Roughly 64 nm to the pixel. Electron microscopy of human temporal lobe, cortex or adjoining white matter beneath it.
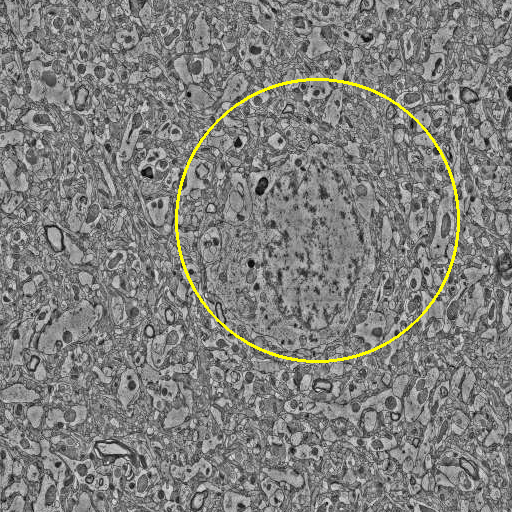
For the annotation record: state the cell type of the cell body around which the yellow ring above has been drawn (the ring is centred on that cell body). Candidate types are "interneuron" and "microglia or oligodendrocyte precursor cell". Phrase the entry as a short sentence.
The ringed cell is an interneuron.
